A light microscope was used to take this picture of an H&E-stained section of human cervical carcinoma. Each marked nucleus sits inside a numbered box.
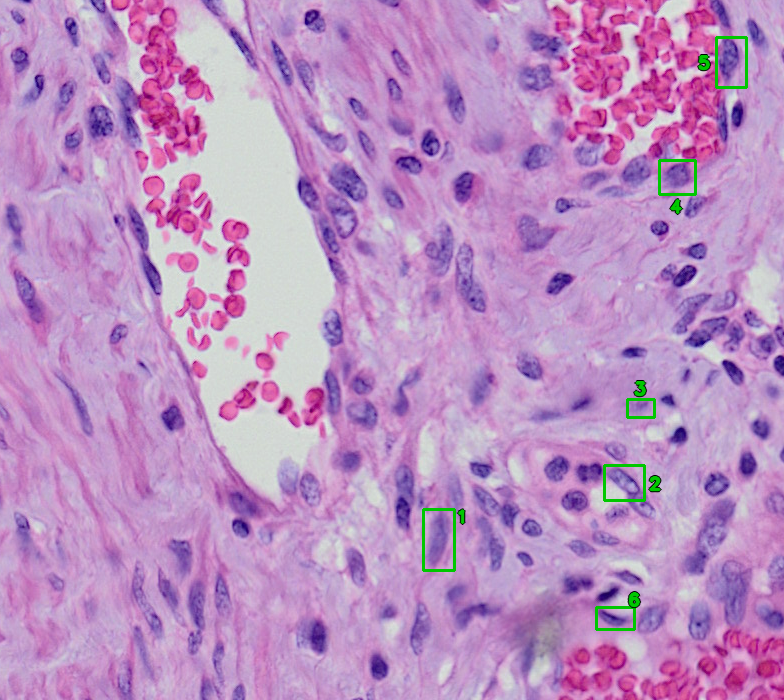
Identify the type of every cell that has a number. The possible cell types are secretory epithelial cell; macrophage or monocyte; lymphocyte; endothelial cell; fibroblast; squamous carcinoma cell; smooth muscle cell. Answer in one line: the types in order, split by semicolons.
fibroblast; endothelial cell; fibroblast; endothelial cell; endothelial cell; endothelial cell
